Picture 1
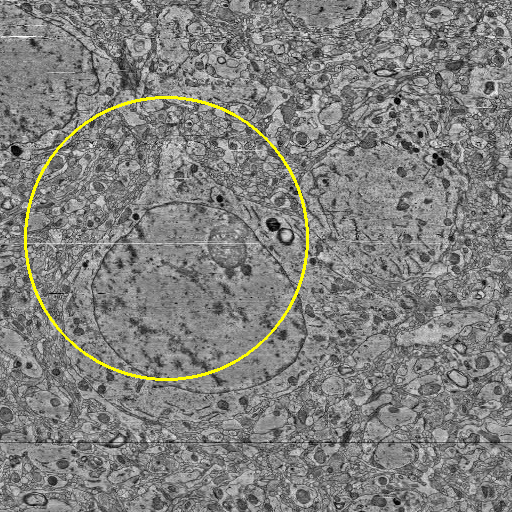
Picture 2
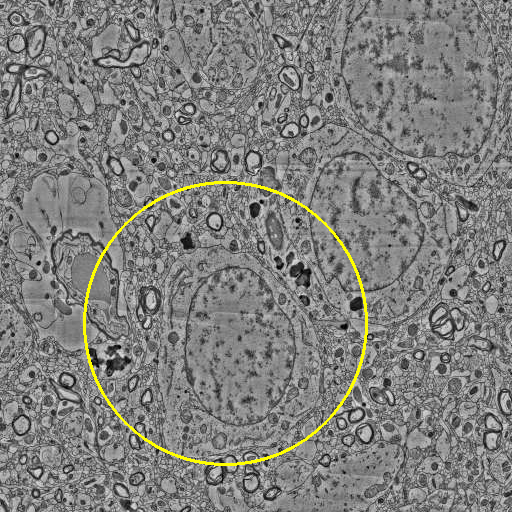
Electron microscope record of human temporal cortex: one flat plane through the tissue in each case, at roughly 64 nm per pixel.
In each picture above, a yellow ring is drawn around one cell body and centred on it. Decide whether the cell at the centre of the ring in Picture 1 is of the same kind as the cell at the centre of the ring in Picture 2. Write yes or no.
yes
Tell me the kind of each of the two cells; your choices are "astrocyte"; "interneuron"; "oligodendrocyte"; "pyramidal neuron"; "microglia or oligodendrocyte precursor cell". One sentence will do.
Each of the two pictures has a pyramidal neuron at the ring centre.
